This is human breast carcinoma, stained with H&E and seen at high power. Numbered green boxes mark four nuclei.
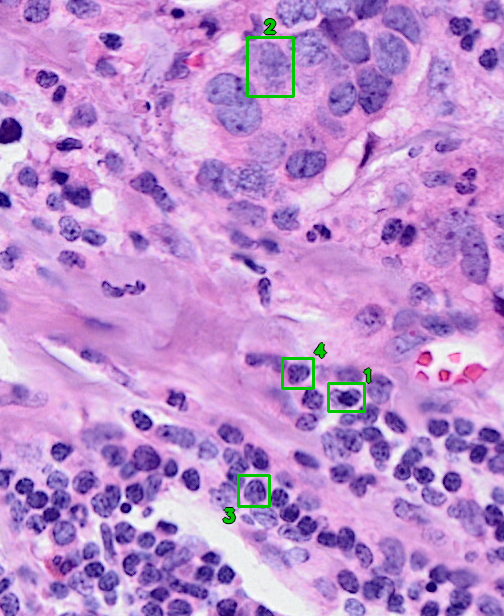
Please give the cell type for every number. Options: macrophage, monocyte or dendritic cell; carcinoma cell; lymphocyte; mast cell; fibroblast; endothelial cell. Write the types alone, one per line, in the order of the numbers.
lymphocyte
carcinoma cell
lymphocyte
lymphocyte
